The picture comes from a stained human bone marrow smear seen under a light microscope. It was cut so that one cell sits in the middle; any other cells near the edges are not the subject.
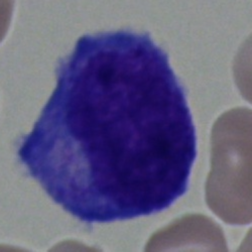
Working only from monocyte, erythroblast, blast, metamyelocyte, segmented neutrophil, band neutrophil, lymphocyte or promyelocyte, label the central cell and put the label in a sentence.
Where the crop is centred, there is a promyelocyte.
